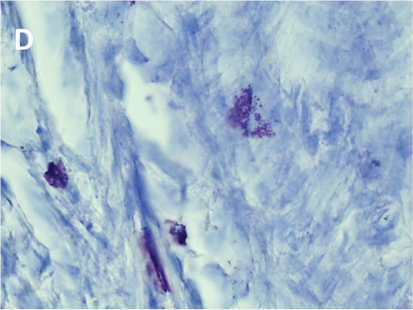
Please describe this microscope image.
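The mast cells stain deep purple and stand out from the blue fibrous background. One of them shows its purple granules spread loosely around it, while others are compact and dark.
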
